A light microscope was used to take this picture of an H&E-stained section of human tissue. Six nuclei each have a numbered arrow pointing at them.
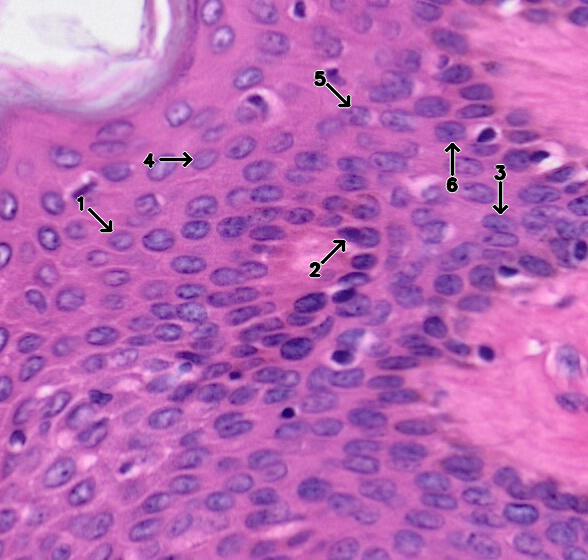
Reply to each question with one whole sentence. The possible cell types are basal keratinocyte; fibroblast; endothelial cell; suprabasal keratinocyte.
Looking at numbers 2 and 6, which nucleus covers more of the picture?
Nucleus 6 is the larger one, covering about 2 times the area of nucleus 2.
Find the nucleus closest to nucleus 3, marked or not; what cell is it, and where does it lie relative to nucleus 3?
A basal keratinocyte lies closest, below nucleus 3.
